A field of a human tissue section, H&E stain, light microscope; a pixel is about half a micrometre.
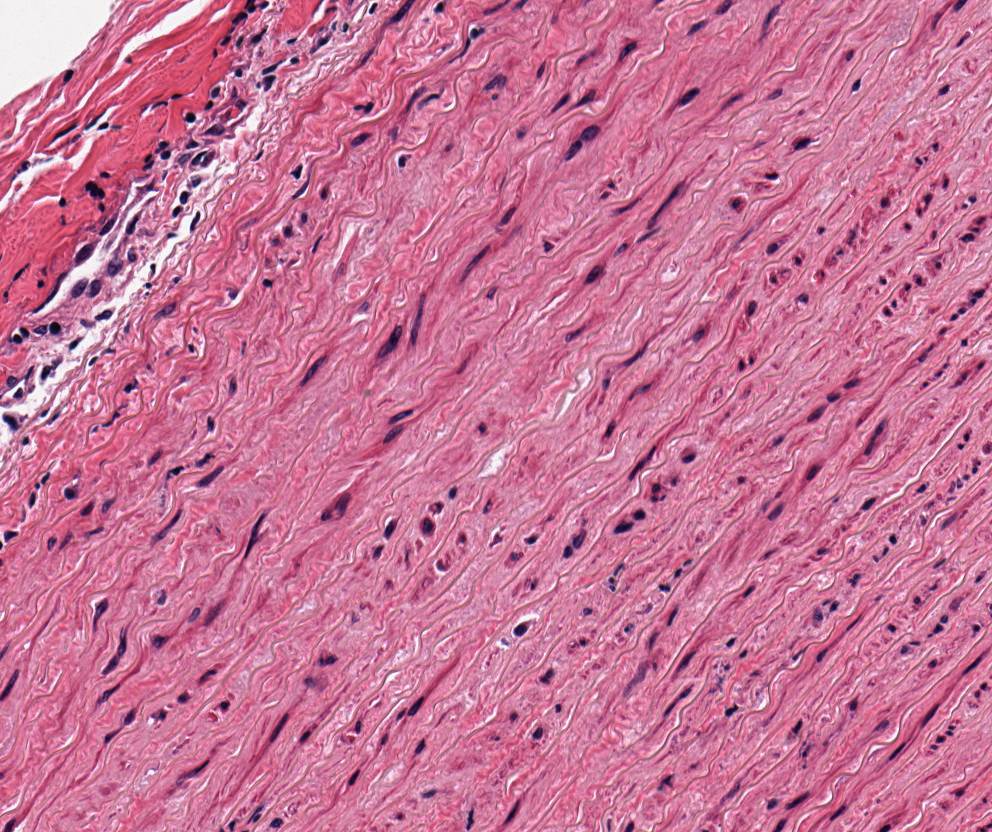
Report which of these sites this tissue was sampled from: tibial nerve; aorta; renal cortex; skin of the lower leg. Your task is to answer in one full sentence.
The human tissue in this section was sampled from the aorta.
